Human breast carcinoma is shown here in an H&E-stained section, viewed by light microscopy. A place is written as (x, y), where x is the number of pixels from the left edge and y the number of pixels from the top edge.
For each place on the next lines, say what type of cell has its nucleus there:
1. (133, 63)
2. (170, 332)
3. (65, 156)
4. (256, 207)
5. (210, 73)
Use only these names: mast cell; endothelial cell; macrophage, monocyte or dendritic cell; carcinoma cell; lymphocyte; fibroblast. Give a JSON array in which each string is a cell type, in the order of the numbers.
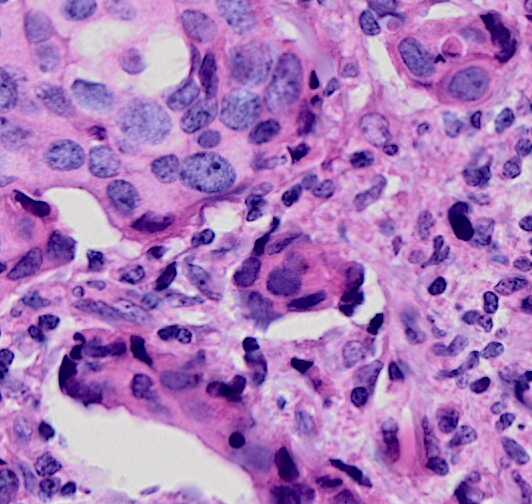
["carcinoma cell", "lymphocyte", "carcinoma cell", "lymphocyte", "carcinoma cell"]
